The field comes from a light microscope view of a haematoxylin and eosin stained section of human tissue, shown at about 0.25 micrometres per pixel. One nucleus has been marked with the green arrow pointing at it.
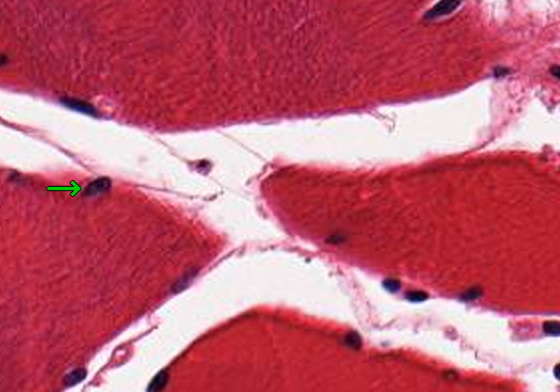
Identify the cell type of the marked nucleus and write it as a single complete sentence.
The nucleus with the mark belongs to a skeletal muscle fibre.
